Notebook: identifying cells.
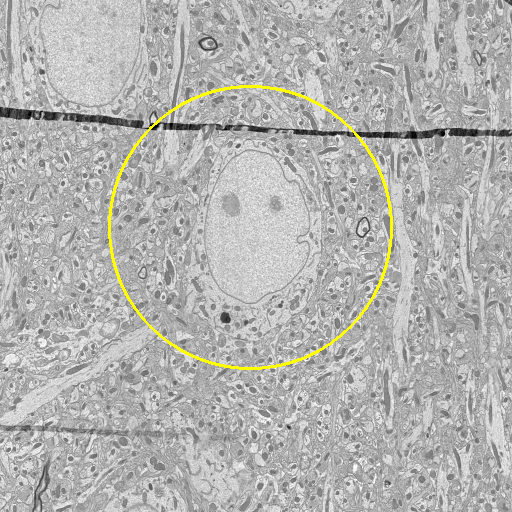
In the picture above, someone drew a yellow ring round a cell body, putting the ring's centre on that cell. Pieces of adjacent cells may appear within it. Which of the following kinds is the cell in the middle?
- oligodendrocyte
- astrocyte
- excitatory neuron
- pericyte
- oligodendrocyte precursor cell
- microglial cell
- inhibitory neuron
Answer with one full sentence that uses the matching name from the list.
In this picture, the yellow ring is centred on the body of an excitatory neuron.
